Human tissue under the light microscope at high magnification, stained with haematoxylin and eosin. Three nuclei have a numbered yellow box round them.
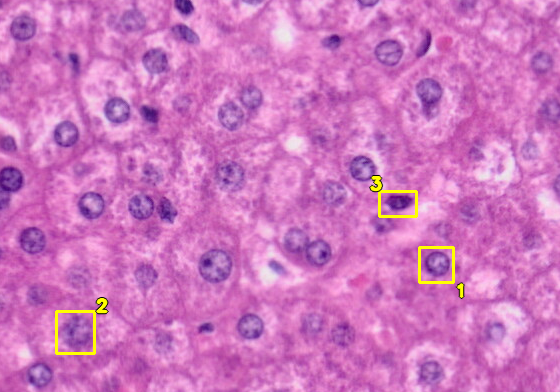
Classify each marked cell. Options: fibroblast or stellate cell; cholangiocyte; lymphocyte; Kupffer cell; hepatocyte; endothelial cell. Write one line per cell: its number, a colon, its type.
1: hepatocyte
2: hepatocyte
3: fibroblast or stellate cell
